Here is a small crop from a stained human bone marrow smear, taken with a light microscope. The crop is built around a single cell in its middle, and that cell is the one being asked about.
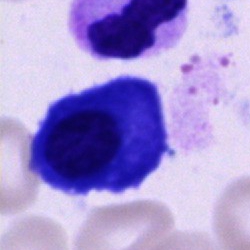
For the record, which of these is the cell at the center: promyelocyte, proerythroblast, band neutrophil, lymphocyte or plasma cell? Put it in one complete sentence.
The middle cell in this particular crop is a plasma cell.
